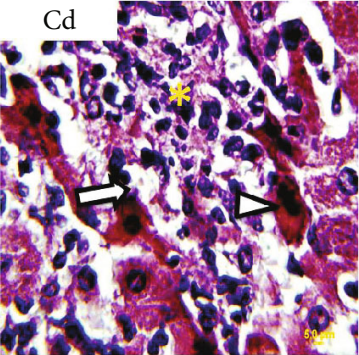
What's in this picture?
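Liver parenchyma with hepatocytes disrupted by a dense infiltrate of small cells with dark, round to irregular nuclei and scant cytoplasm, filling the spaces between hepatocytes. Several hepatocytes are elongated and shrunken, with intensely dark red cytoplasm and dark, condensed nuclei, unlike the paler pink neighbouring hepatocytes that keep round nuclei. The regular cord arrangement of the hepatocytes is lost; pale, clear spaces lie among the cells. Remaining hepatocytes are polygonal with granular pink cytoplasm and central round nuclei.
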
